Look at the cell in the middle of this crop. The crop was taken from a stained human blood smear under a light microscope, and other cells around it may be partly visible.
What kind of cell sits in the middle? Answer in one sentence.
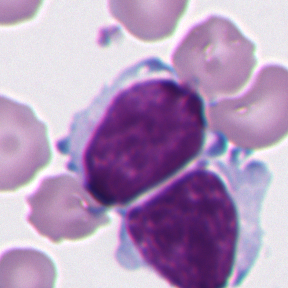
The cell in the middle of the field of view is a lymphocyte.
